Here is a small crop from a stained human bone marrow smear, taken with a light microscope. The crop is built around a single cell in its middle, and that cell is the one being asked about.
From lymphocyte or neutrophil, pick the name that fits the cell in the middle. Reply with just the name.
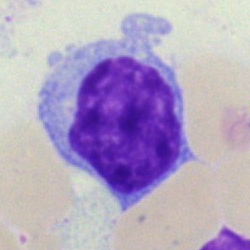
lymphocyte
